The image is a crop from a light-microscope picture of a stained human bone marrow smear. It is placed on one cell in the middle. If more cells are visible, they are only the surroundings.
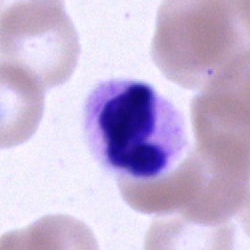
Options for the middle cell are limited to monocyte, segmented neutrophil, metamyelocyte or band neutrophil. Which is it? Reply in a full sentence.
Standing at the centre of this crop is a segmented neutrophil.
